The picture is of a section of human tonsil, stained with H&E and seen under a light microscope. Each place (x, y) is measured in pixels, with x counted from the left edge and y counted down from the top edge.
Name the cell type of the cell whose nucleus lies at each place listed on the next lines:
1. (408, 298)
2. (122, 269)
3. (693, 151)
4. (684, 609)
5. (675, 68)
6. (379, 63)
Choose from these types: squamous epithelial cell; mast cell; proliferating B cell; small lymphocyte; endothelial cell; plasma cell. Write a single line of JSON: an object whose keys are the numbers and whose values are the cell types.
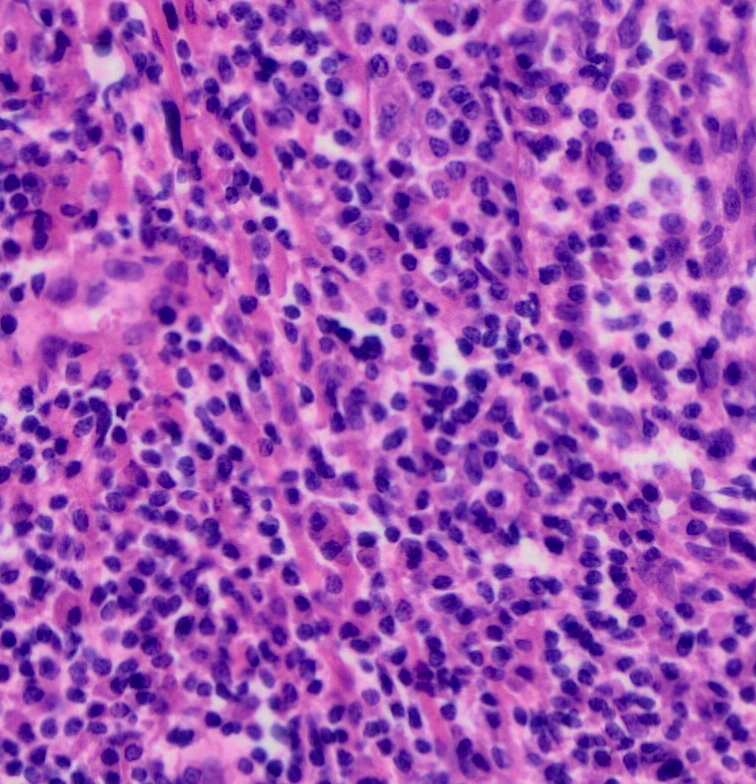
{"1": "plasma cell", "2": "endothelial cell", "3": "squamous epithelial cell", "4": "plasma cell", "5": "plasma cell", "6": "plasma cell"}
